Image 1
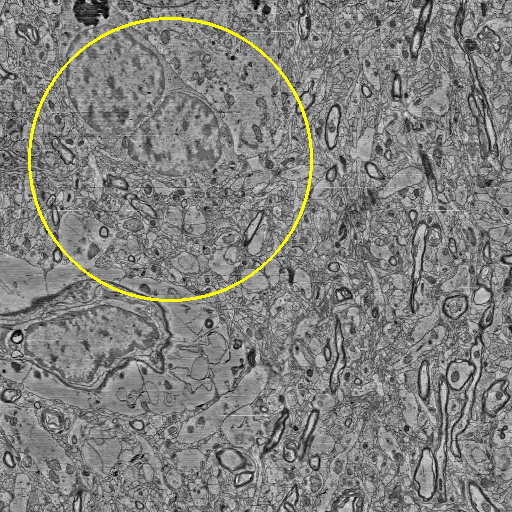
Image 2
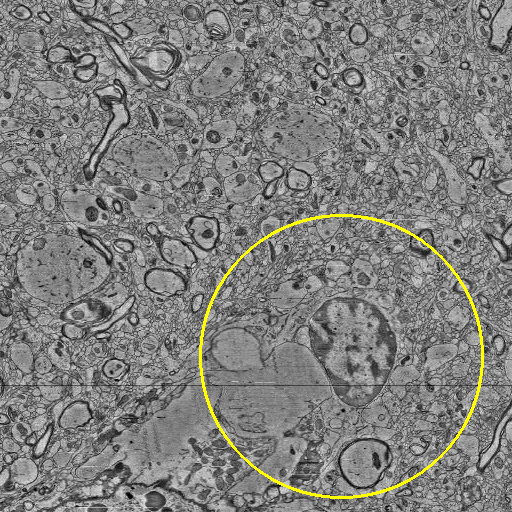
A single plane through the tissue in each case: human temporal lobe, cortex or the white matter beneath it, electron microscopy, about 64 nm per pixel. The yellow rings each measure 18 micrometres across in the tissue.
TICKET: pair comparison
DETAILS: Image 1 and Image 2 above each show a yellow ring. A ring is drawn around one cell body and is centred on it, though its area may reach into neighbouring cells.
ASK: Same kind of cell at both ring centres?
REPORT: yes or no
no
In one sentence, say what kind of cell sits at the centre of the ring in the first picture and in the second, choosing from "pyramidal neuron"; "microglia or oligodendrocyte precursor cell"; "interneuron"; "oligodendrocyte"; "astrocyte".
The first picture's ringed cell is an oligodendrocyte, while the second picture's is a microglial cell or oligodendrocyte precursor cell.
